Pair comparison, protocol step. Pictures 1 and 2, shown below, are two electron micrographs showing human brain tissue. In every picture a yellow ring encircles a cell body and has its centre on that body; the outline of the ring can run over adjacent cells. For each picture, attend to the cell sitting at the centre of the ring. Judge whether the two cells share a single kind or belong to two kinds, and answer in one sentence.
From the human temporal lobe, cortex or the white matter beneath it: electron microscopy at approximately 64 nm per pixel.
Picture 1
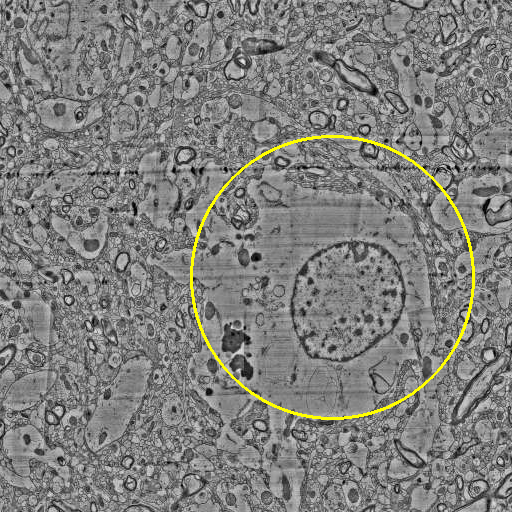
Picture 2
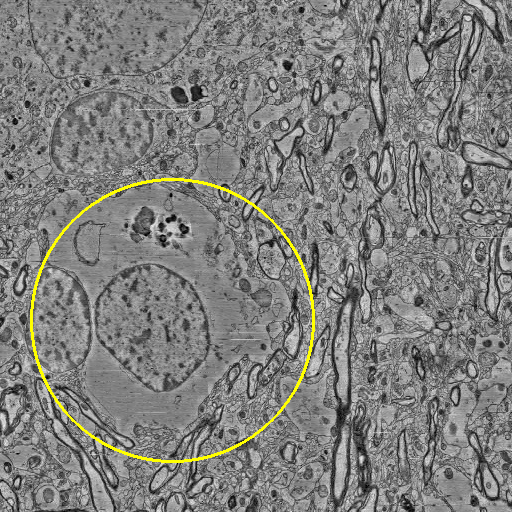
The two cells at the ring centres in Picture 1 and Picture 2 share a single kind.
